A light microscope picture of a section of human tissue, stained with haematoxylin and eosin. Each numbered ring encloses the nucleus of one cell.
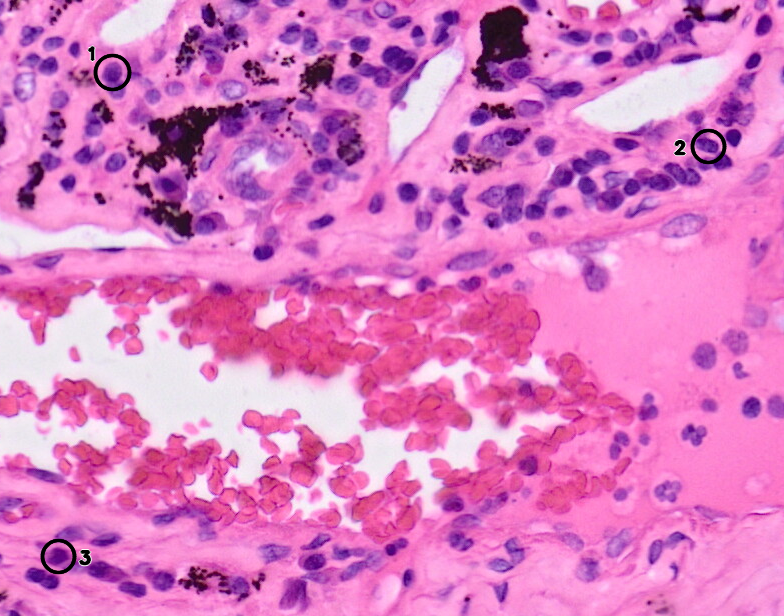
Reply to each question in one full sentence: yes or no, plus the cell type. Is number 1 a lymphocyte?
Yes, it is a lymphocyte that carries the number 1.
